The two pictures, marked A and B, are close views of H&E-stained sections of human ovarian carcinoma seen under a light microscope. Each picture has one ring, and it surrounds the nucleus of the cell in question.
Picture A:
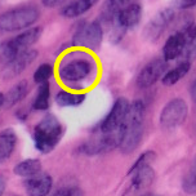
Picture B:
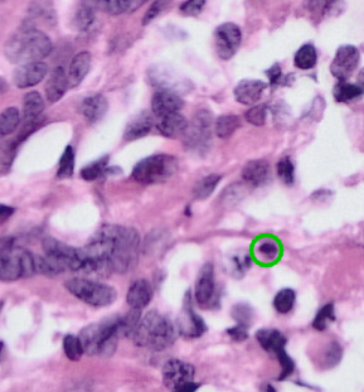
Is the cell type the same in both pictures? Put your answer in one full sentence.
Yes, both are “macrophages or monocytes”.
